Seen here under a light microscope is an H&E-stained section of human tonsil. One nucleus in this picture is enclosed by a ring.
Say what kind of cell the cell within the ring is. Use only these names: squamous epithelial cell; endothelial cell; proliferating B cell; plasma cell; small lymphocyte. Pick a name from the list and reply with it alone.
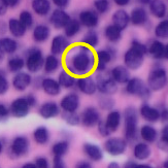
small lymphocyte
